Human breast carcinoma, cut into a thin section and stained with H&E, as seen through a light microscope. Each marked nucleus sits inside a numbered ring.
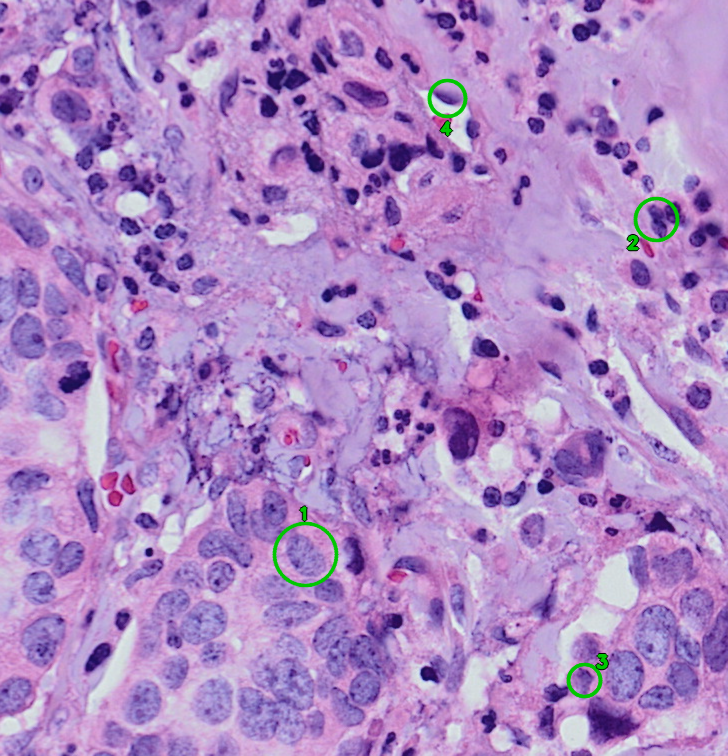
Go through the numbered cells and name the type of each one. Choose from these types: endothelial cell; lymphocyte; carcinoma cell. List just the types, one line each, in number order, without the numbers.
carcinoma cell
lymphocyte
carcinoma cell
endothelial cell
